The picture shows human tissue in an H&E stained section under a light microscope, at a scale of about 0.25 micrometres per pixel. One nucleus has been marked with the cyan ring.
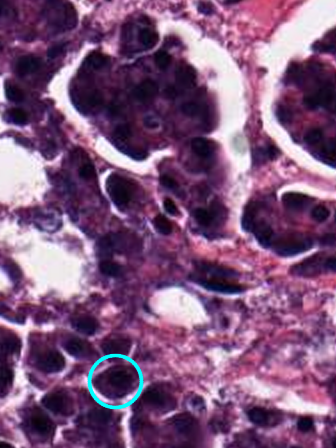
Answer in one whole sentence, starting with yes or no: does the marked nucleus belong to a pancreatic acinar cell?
Yes, the marked nucleus is a nucleus of a pancreatic acinar cell.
